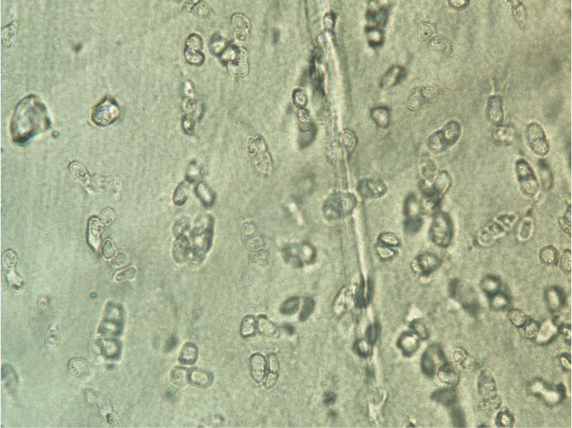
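This is a thin slice of cartilage in which the chondrocytes can be seen sitting in their lacunae. The cells are rounded to oval and appear singly, in pairs, or in small clusters of a few cells lying close together. Between them lies a broad, smooth, pale matrix with no cells in it. A long fold or crease runs vertically through the middle of the slice. There are no vessels in the field.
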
